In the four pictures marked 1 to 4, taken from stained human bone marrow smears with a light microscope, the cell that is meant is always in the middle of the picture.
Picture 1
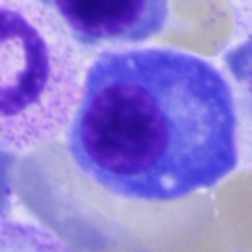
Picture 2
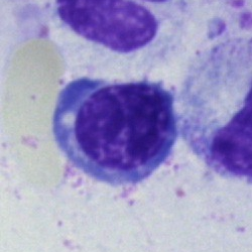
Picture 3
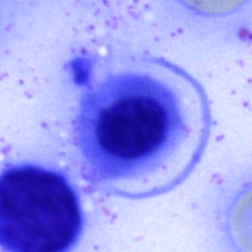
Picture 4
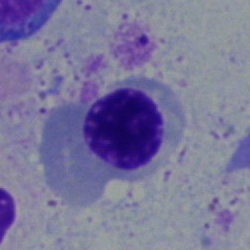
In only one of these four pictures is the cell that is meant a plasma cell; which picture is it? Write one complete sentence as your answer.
The plasma cell is the one in picture 1.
